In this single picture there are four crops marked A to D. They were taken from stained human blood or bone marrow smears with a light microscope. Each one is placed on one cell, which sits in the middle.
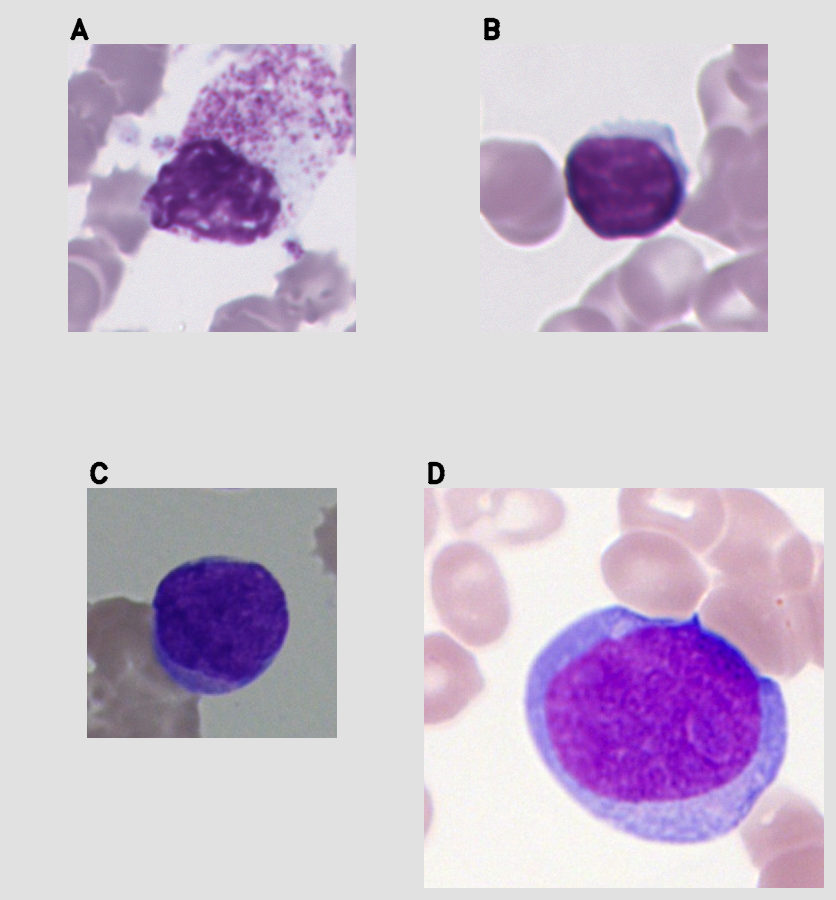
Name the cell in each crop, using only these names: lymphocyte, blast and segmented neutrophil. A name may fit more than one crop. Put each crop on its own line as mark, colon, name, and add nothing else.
A: segmented neutrophil
B: lymphocyte
C: blast
D: blast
